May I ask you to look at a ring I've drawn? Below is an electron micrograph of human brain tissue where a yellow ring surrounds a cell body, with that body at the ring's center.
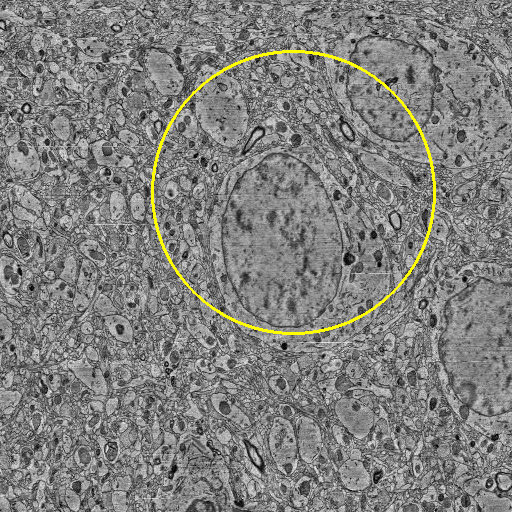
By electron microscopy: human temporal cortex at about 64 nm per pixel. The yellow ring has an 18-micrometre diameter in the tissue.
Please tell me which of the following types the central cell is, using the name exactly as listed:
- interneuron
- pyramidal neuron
pyramidal neuron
